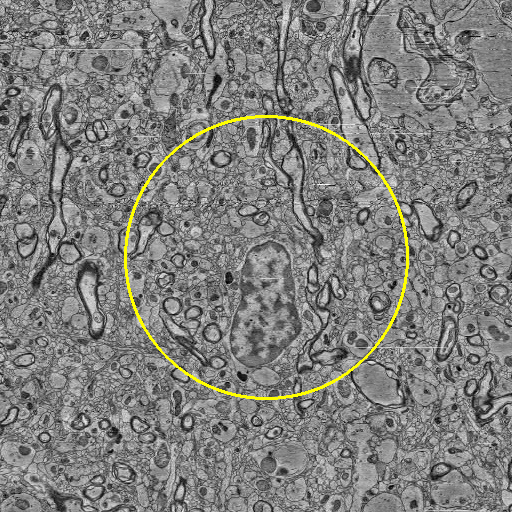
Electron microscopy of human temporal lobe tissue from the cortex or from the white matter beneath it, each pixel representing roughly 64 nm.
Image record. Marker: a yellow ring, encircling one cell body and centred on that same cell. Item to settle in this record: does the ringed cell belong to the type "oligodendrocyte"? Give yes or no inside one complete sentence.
No, in the picture, the cell centred within the yellow ring is of a different type.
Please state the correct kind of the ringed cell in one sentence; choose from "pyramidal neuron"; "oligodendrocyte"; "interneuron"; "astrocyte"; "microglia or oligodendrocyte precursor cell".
Instead, the cell inside the ring is a microglial cell or oligodendrocyte precursor cell.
